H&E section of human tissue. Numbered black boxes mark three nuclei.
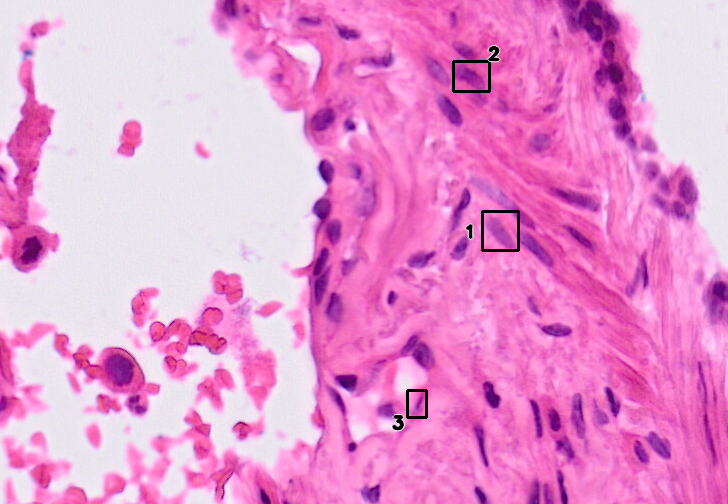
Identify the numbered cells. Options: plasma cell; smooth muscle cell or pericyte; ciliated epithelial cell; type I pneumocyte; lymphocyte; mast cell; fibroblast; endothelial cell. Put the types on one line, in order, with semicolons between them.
smooth muscle cell or pericyte; smooth muscle cell or pericyte; endothelial cell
